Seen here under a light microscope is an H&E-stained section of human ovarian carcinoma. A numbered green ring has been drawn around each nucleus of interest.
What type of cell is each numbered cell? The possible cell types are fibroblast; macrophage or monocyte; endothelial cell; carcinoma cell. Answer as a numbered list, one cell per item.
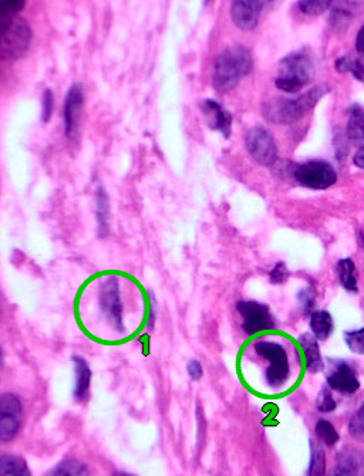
1. fibroblast
2. carcinoma cell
